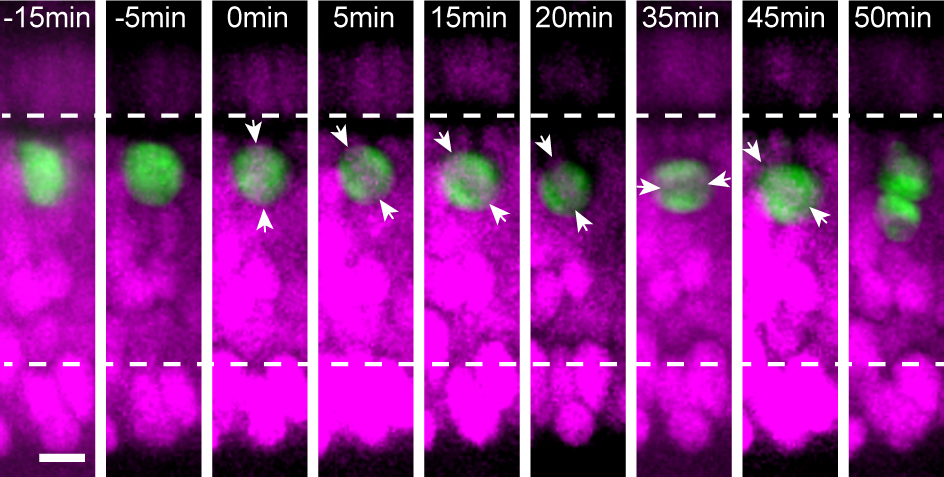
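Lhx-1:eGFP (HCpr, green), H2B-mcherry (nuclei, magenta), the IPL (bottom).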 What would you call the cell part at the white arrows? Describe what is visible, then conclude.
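Metaphase plate. Pairs of white arrows point at opposite ends of a band of chromatin inside a rounded green cell. The band's orientation changes between successive frames. In the last frame the cell has split into two green daughters.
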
